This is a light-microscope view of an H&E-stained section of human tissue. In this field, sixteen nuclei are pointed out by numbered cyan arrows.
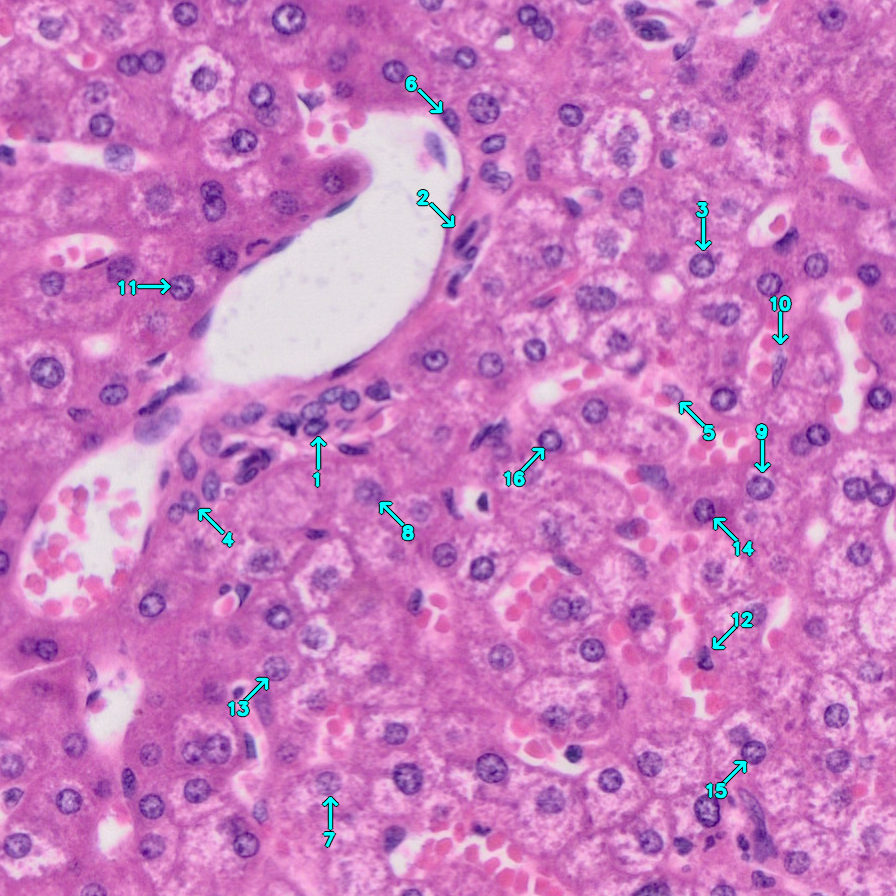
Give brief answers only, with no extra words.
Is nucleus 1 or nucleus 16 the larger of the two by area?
16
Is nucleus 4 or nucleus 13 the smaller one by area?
4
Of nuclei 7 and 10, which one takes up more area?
7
